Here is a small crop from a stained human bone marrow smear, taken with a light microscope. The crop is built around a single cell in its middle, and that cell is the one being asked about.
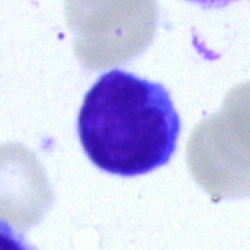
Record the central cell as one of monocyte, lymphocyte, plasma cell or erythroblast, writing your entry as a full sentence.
The cell in the middle of this crop is a lymphocyte.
